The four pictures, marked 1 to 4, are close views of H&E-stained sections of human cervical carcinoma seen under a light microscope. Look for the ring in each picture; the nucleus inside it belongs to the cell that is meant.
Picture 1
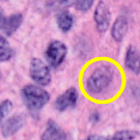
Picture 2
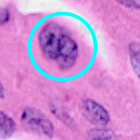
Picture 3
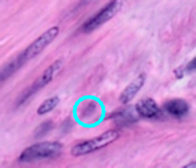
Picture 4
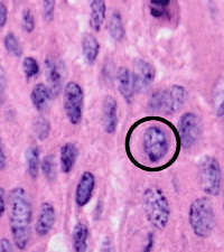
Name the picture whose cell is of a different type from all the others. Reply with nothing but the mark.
3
